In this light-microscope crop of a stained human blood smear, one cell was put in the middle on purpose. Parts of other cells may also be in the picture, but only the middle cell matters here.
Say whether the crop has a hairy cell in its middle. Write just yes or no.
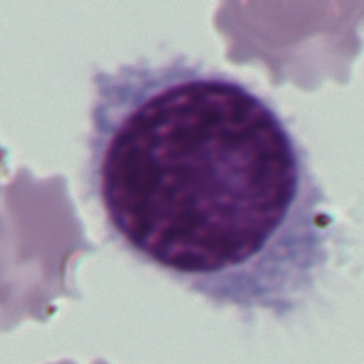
yes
